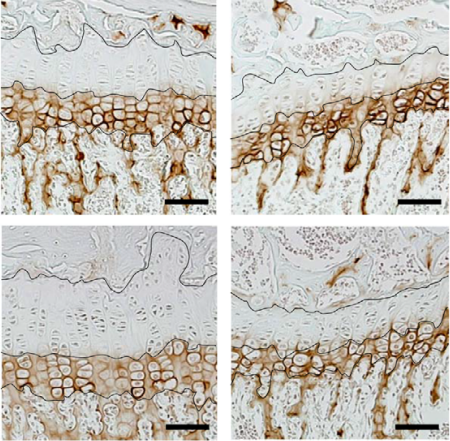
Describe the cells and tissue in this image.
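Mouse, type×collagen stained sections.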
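These are sections of growing bone cartilage, shown as four images in a grid, with a brown stain on a pale background. In each image a band of large, rounded, boxy cells is rimmed by brown staining, and this band is traced at its upper edge by a thin black line. Below that band, brown-rimmed strands reach downward into a loose meshwork with spaces between them. Above it, the cartilage holds smaller, paler cells with little brown.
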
